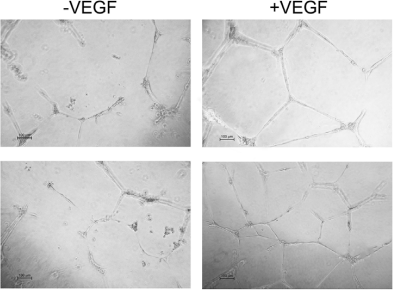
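At the junctions the cords are thicker, where cells gather. In some images the network is more complete and continuous, with many closed loops; in others the cords are shorter and fragmented, with loose clumps of rounded cells and stray debris lying between them. Individual nuclei are hard to make out at this magnification.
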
